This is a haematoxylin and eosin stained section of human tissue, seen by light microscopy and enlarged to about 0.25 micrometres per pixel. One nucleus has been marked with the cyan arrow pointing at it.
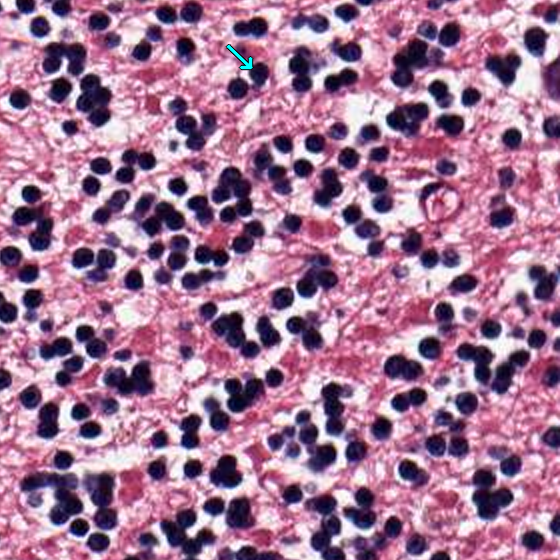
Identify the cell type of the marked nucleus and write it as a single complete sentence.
Located in a cerebellar granule cell is the marked nucleus.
